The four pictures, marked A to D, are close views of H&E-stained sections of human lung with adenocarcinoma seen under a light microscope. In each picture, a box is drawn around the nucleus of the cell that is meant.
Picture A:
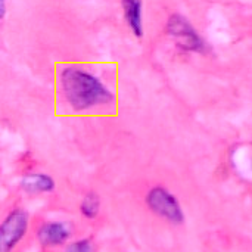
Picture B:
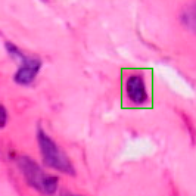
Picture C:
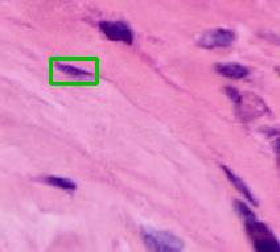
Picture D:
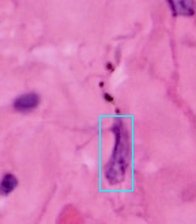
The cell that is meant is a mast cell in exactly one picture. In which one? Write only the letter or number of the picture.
B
